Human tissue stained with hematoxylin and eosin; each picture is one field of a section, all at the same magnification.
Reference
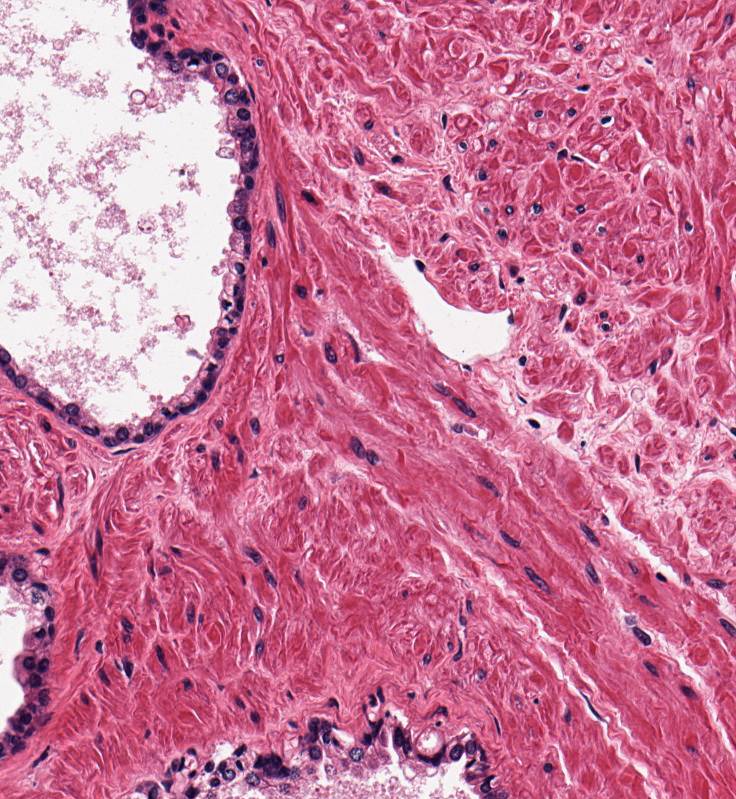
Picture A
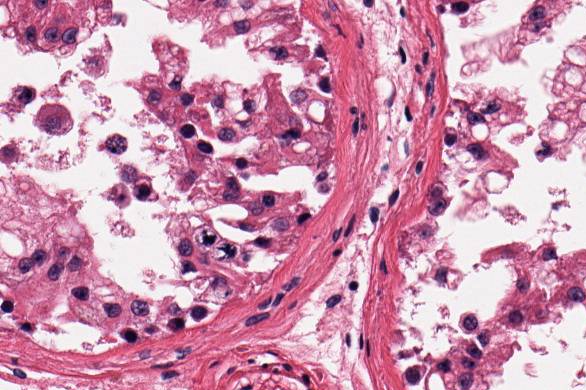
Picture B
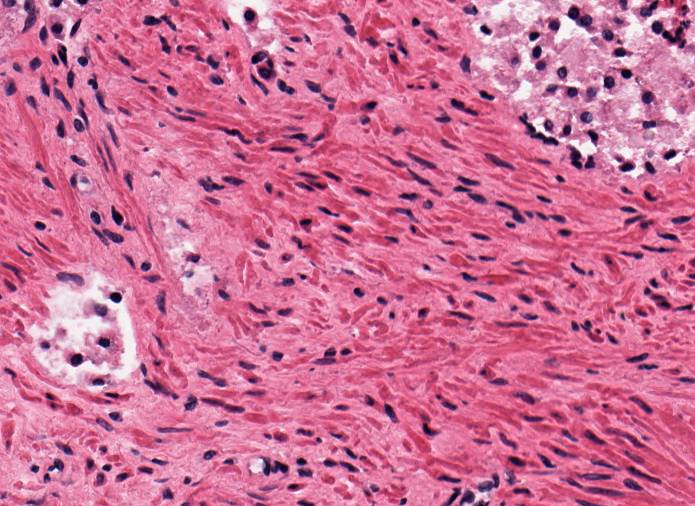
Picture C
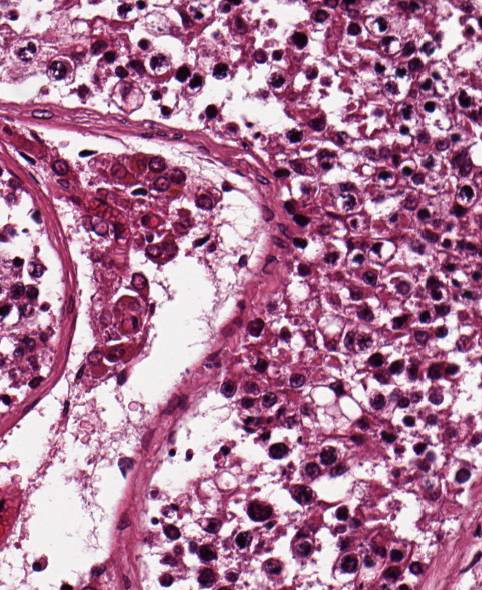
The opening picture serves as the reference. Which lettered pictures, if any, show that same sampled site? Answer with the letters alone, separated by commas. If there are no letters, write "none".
B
